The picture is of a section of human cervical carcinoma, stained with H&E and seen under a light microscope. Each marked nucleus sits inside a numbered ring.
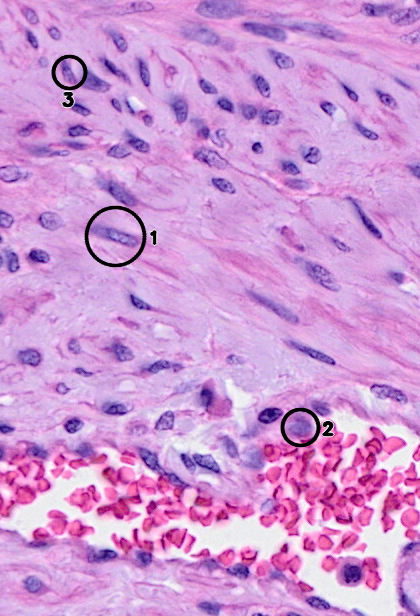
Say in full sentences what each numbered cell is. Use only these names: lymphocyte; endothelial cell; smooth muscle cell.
Cell 1 is a smooth muscle cell, cell 2 is an endothelial cell and cell 3 is a smooth muscle cell.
